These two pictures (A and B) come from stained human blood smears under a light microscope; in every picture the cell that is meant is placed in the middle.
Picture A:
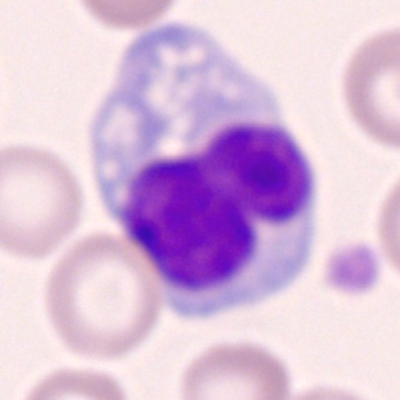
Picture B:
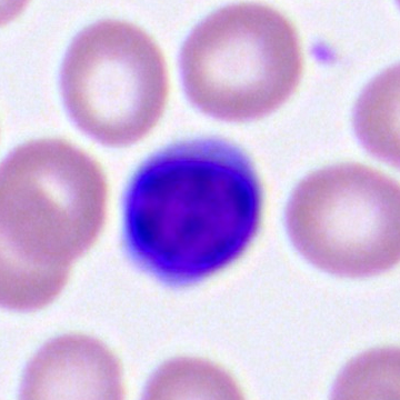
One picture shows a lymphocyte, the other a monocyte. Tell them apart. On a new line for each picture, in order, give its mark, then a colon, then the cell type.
A: monocyte
B: lymphocyte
